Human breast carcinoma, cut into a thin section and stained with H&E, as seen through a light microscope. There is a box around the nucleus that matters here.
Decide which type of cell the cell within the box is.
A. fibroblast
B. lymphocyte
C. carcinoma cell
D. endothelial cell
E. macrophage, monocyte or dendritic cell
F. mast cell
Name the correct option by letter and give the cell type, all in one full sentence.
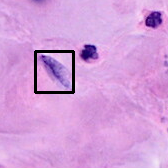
Option A is correct in that the cell within the box is a fibroblast.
